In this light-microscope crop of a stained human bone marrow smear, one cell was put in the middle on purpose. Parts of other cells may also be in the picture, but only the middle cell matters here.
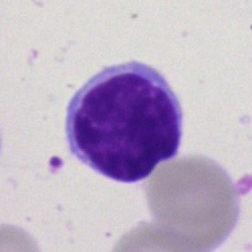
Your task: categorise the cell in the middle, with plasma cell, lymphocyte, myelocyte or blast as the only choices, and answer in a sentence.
The middle cell in this particular crop is a lymphocyte.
